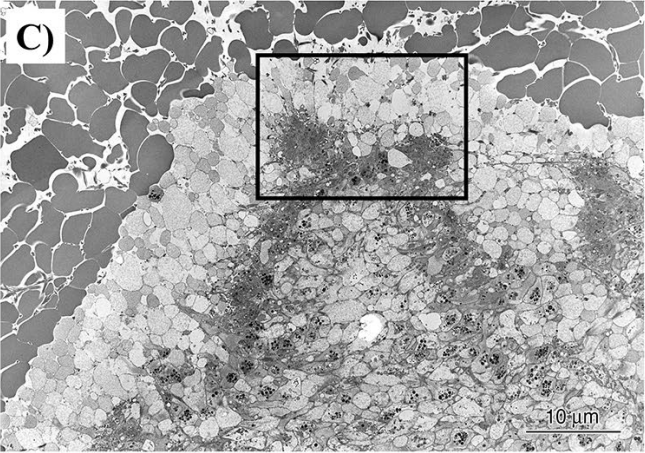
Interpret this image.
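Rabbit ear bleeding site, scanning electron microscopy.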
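A thrombus is made of many small, tightly packed platelet profiles, some pale and others darker. The darker ones lie in central clusters and contain dense round granules. Larger, uniformly dark, irregular profiles border the aggregate at the top and left.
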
